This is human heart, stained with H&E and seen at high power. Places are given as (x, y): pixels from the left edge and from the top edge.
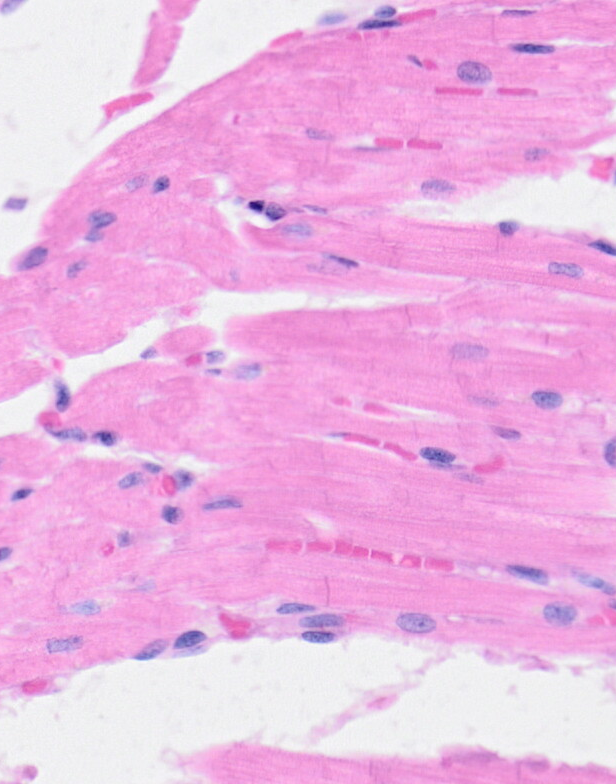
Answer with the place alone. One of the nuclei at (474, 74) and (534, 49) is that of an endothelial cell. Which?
(534, 49)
